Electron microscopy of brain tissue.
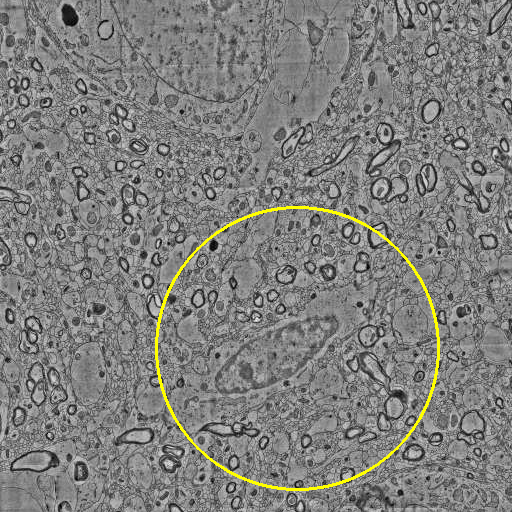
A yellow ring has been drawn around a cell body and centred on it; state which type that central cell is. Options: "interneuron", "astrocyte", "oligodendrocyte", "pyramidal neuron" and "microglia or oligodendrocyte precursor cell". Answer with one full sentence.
The cell at the middle of the yellow ring is a microglial cell or oligodendrocyte precursor cell in this picture.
